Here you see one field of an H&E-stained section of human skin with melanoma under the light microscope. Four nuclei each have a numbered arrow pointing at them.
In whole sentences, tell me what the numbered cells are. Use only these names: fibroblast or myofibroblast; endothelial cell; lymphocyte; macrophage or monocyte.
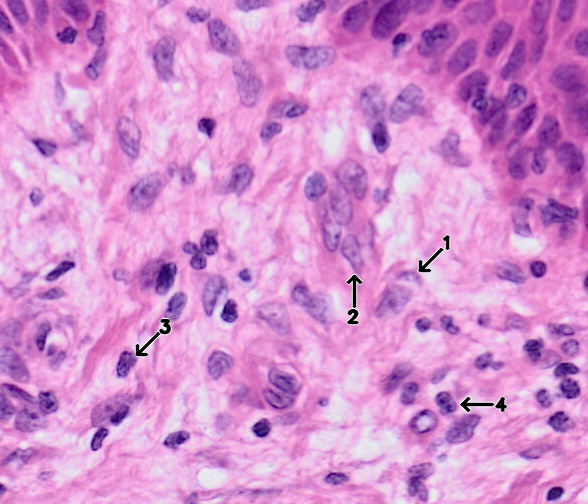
Cell 1 is a fibroblast or myofibroblast. Cell 2 is an endothelial cell. Cells 3 and 4 are lymphocytes.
